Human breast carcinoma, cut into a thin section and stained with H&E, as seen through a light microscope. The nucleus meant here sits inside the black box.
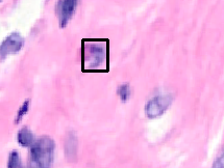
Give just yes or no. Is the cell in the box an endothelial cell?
yes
